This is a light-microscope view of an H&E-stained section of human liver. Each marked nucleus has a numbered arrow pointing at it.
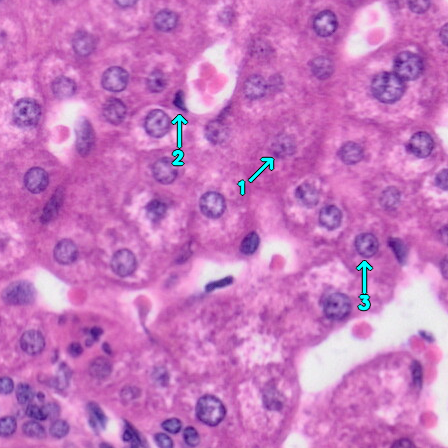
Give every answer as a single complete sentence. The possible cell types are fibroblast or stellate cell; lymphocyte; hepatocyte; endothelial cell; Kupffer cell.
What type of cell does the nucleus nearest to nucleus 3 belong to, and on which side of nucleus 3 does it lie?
The nearest nucleus is that of a fibroblast or stellate cell and lies to the right of nucleus 3.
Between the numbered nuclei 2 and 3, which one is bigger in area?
At about 2 times the area of nucleus 2, nucleus 3 is the larger of the two.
